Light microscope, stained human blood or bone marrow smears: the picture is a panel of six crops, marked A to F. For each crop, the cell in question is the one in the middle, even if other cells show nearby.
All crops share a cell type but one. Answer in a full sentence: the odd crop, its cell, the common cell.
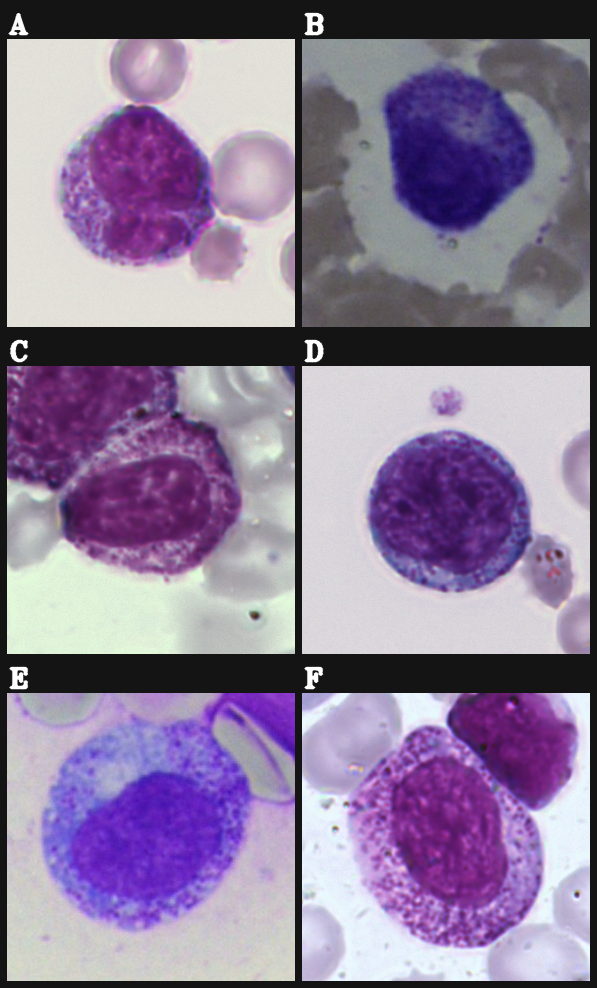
Crop D is the one to flag: it is a promyelocyte, and the rest show myelocytes.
